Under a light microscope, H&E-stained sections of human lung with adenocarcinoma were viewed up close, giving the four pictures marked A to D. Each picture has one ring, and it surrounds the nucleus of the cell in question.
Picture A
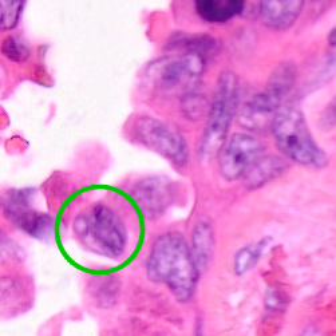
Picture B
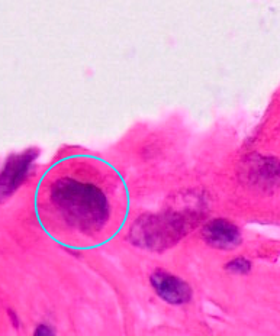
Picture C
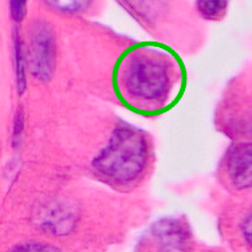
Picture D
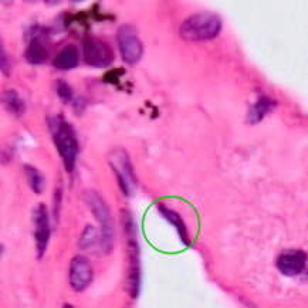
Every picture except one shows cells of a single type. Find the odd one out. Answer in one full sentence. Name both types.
Picture D differs, because its cell is an endothelial cell and the rest are carcinoma cells.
